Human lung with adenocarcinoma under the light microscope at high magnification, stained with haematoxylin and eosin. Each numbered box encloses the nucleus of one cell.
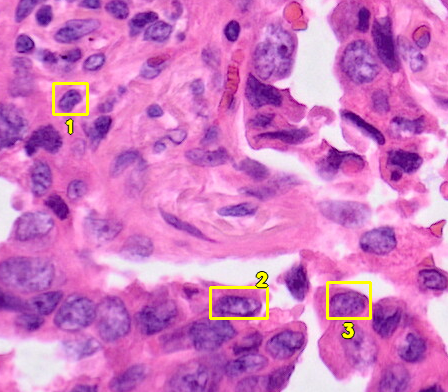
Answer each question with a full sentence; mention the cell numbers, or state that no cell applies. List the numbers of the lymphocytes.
Cell 1 is a lymphocyte; every other numbered cell is something else.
